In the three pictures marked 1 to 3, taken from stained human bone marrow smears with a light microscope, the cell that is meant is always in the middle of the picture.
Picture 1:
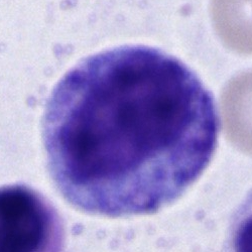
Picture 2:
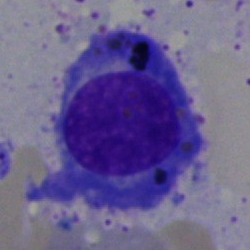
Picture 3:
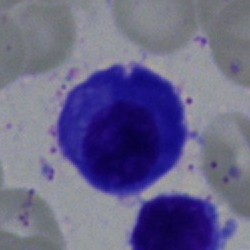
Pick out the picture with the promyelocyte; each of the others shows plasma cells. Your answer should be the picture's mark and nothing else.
1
